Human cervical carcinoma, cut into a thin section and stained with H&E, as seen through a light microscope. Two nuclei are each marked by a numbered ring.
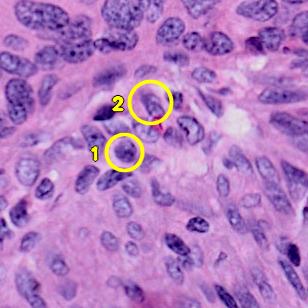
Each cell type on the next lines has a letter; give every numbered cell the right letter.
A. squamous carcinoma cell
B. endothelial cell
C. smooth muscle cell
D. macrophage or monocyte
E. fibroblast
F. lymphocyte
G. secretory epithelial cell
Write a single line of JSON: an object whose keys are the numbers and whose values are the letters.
{"1": "F", "2": "B"}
